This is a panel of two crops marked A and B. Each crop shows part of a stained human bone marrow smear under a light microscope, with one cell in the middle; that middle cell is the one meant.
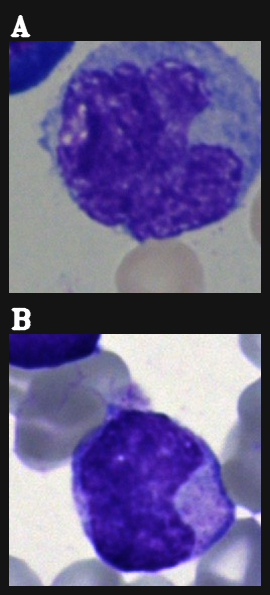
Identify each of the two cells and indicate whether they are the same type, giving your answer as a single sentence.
Yes, both crops show monocytes in the centre of the field.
